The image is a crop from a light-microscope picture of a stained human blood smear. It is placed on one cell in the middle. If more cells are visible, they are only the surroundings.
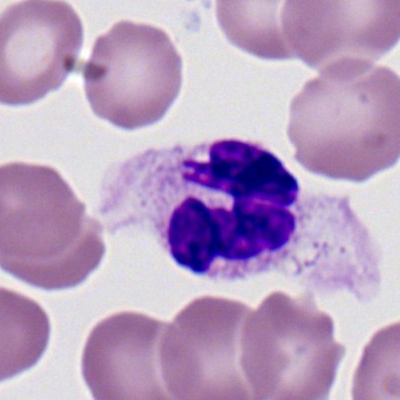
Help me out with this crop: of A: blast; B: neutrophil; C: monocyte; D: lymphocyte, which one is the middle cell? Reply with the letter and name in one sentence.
The cell in the middle is a neutrophil, and that makes option B correct.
